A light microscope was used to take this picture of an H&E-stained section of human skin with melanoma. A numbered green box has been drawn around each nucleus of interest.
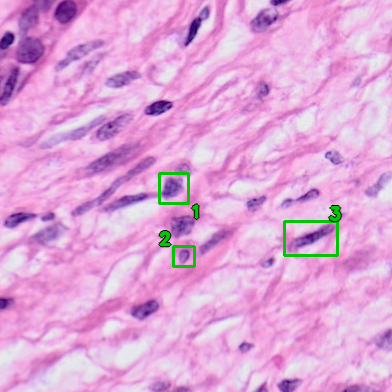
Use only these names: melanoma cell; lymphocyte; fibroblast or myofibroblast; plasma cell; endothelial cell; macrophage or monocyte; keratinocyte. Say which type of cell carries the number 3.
fibroblast or myofibroblast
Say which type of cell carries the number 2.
macrophage or monocyte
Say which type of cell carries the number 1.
lymphocyte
